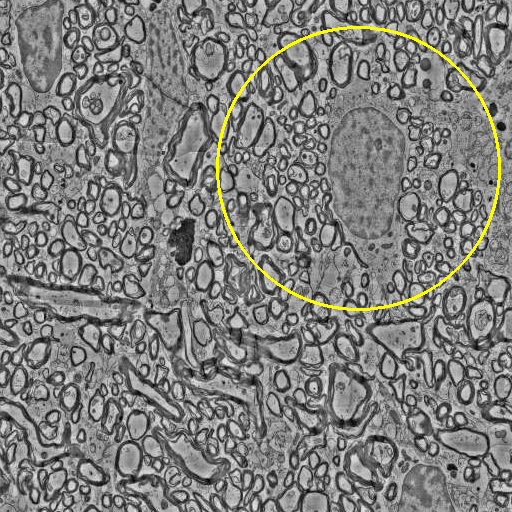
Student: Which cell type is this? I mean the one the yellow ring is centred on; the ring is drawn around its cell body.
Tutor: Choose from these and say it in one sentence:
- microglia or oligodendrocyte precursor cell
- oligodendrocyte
The cell the ring is centred on is an oligodendrocyte.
